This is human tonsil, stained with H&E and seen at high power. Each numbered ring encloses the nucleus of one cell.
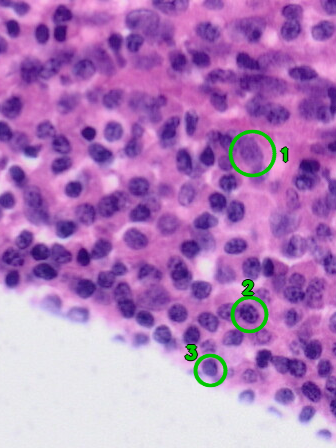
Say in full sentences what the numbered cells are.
Cell 1 is an endothelial cell. Cell 2 is a plasma cell. Cell 3 is a small lymphocyte.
